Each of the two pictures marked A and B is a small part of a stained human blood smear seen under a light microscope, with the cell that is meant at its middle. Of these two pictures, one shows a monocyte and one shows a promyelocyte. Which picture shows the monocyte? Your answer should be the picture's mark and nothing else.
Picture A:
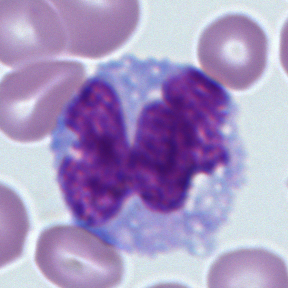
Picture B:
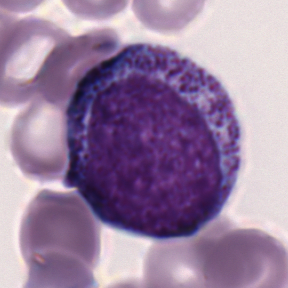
A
